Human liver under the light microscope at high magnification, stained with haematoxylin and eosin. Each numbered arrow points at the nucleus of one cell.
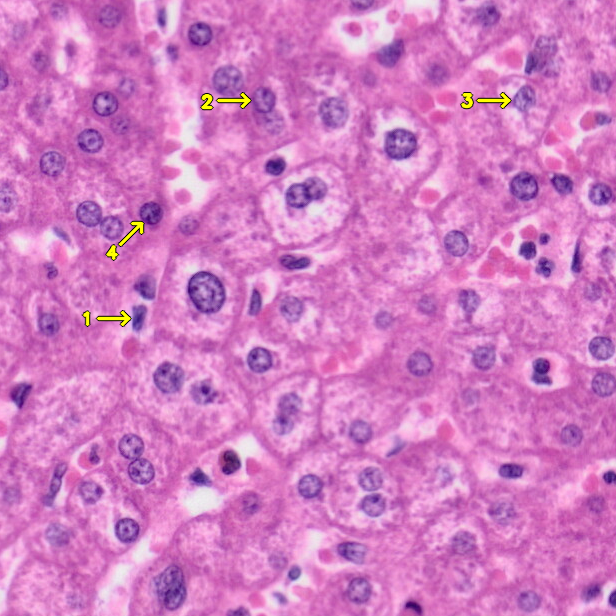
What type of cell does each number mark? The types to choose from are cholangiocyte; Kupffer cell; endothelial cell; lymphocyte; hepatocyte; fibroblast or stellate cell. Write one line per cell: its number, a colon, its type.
1: lymphocyte
2: hepatocyte
3: hepatocyte
4: hepatocyte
